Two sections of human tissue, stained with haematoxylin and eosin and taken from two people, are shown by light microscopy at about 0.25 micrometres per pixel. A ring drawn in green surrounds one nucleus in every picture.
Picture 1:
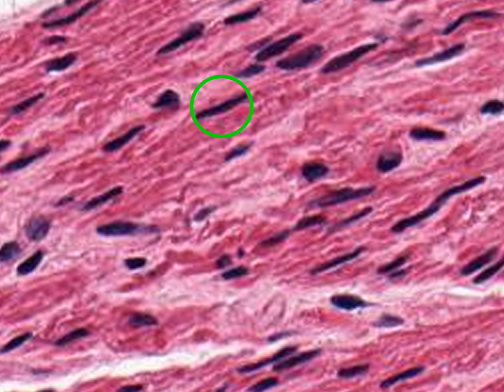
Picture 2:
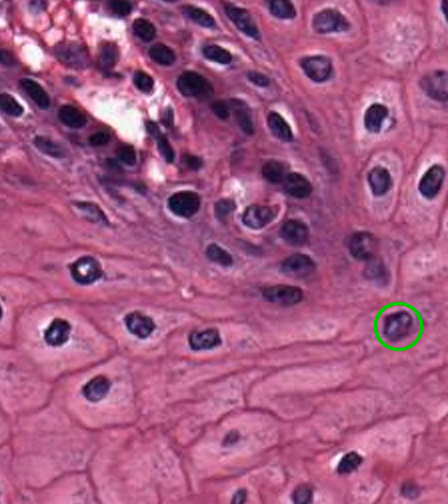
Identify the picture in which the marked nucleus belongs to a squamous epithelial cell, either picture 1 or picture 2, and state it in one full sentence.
For picture 2, the marked nucleus is that of a squamous epithelial cell.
